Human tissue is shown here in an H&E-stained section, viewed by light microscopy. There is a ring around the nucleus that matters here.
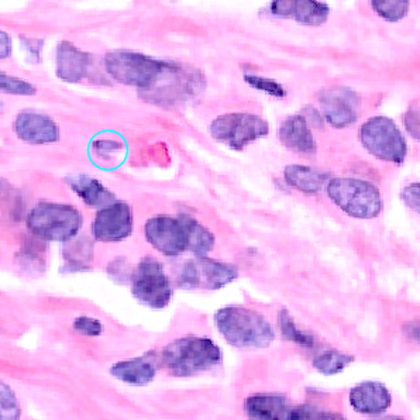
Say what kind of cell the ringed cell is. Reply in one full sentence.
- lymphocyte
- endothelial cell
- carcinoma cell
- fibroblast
As far as its identity is concerned, the ringed cell is an endothelial cell.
